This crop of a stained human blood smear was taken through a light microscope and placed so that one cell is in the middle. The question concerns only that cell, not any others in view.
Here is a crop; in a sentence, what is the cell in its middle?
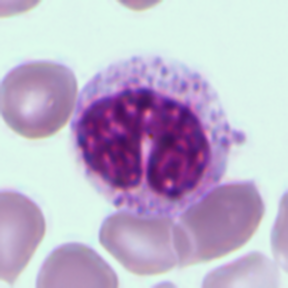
The cell centred in this crop is categorized as a band neutrophil.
